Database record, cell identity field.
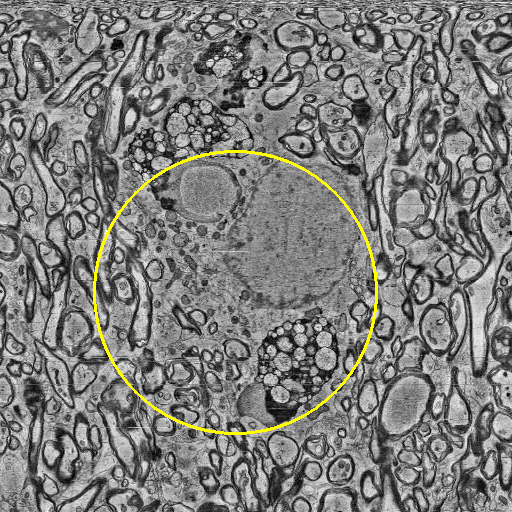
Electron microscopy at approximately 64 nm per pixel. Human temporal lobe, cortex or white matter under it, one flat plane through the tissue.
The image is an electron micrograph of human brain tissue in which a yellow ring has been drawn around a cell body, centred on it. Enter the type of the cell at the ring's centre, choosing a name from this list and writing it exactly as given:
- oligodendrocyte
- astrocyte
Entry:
astrocyte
